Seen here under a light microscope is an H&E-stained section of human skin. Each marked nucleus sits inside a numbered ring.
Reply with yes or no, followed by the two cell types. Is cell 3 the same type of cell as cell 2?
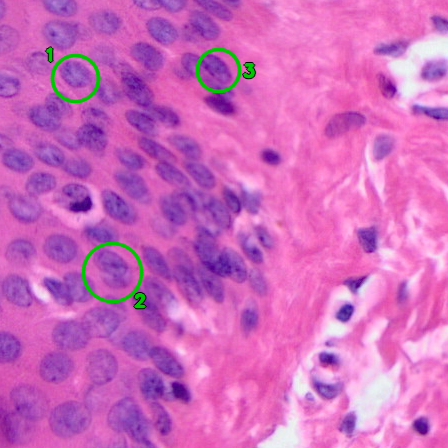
No, the right answer is a basal keratinocyte for cell 3 and a suprabasal keratinocyte for cell 2.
